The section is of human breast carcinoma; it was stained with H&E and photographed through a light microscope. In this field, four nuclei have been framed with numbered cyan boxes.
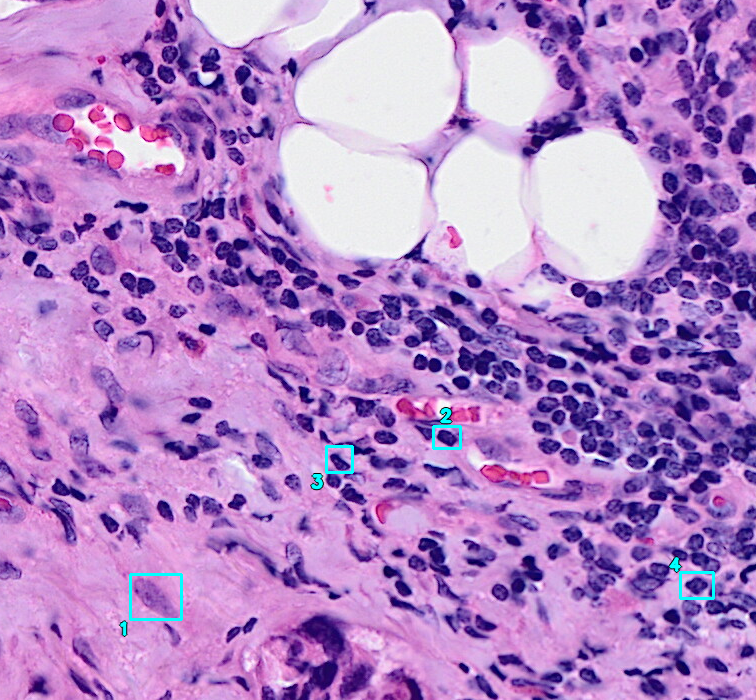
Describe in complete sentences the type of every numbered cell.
Cell 1 is a fibroblast, cell 2 is a lymphocyte, cell 3 is a lymphocyte and cell 4 is a lymphocyte.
